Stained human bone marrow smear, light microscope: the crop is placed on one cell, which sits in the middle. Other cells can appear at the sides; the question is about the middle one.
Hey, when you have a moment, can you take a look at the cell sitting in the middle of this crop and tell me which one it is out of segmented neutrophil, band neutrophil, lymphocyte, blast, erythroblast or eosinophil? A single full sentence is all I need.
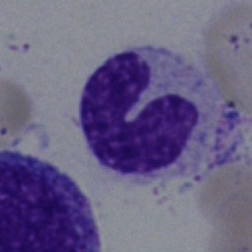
The central cell shown in this smear crop is a band neutrophil.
